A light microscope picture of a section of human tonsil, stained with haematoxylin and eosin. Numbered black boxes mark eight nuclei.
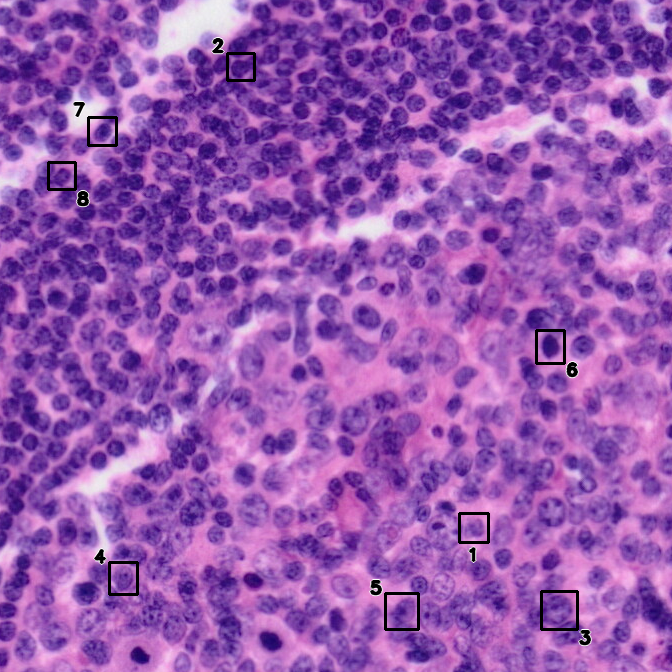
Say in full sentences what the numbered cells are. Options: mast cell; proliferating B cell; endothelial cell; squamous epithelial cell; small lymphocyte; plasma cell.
Cells 1, 3, 4, 5 and 6 are proliferating B cells. Cells 2, 7 and 8 are small lymphocytes.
